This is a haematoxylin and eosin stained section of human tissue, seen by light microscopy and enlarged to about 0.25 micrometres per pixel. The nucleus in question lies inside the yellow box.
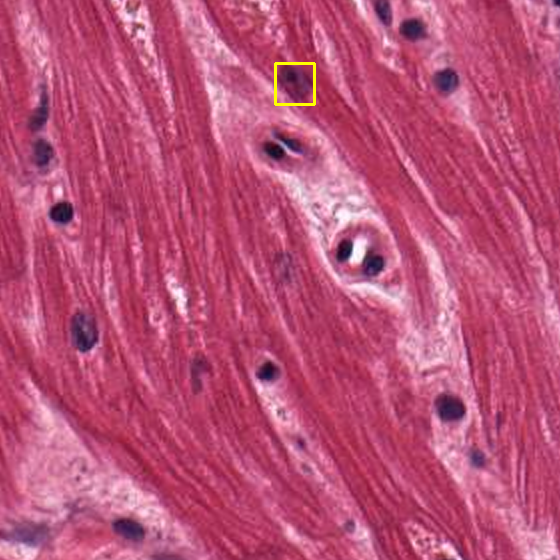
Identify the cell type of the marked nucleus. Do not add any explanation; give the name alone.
cardiomyocyte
